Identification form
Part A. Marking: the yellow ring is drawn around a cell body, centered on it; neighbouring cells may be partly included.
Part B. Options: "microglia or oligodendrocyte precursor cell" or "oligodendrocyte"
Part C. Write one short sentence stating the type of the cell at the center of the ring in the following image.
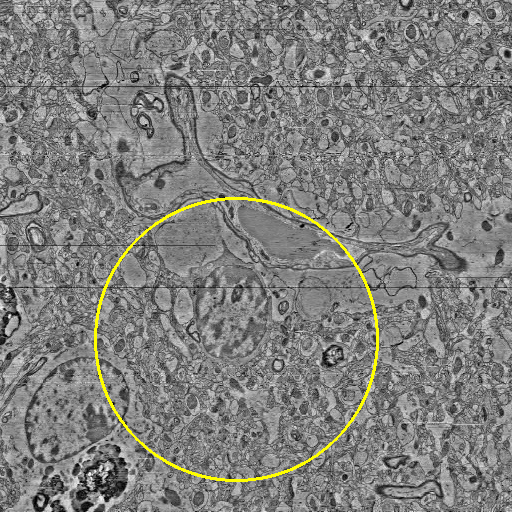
The center of the ring holds an oligodendrocyte.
